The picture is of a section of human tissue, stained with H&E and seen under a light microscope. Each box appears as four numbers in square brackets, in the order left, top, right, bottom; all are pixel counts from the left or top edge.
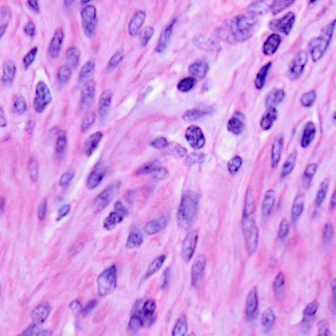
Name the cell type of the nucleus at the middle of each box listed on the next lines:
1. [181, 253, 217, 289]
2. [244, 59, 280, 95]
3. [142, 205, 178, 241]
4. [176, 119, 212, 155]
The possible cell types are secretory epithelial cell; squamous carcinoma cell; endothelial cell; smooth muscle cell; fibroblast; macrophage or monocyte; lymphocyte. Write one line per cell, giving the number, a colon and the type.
1: smooth muscle cell
2: lymphocyte
3: smooth muscle cell
4: lymphocyte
